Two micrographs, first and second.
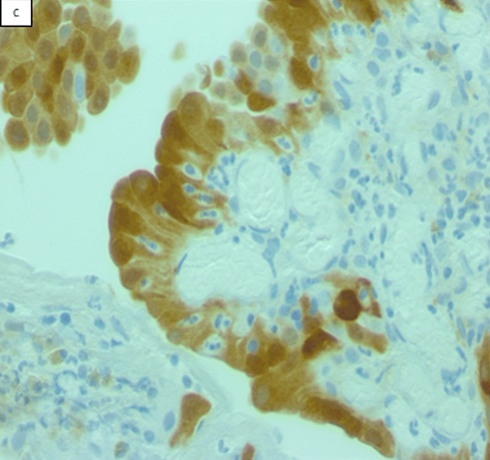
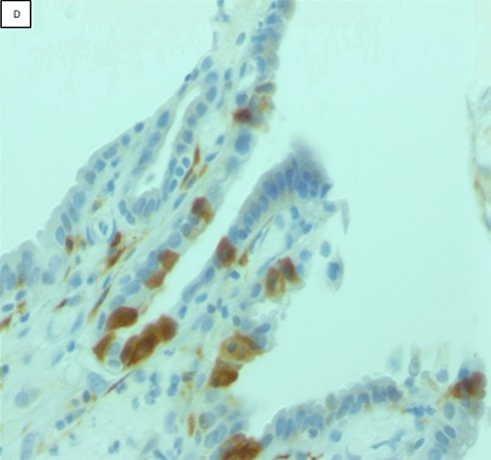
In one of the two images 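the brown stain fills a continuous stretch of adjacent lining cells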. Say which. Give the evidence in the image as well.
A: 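Second image: brown stain is in scattered single cells, with unstained cells between them. First image: brown stain fills a continuous run of neighbouring lining cells, nuclei and cytoplasm. That points to this answer: the first image.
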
